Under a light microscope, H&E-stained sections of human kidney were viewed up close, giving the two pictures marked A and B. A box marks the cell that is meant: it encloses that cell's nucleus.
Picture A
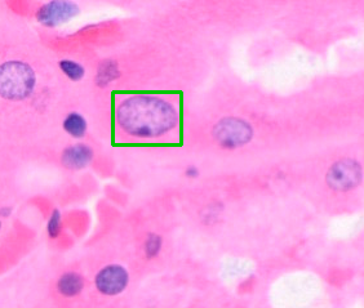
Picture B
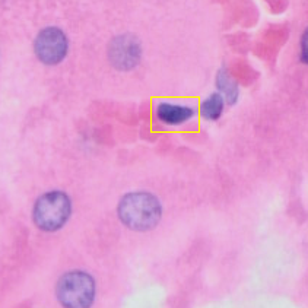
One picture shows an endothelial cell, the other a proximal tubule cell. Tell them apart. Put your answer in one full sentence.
Picture A is of a proximal tubule cell, and picture B is of an endothelial cell.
